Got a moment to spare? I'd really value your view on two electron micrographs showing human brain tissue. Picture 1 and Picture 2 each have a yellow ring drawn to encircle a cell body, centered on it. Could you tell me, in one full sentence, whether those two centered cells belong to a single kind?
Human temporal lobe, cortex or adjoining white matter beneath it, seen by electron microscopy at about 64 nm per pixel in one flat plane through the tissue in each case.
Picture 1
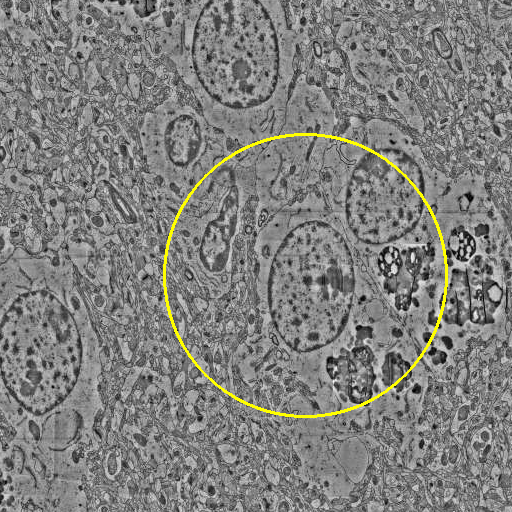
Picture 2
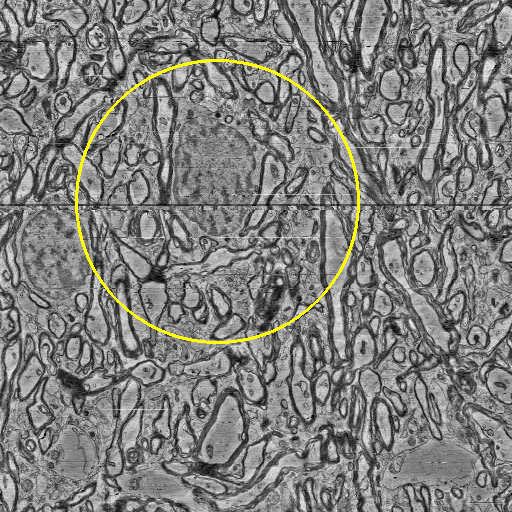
No, the two centered cells in Picture 1 and Picture 2 are of two kinds.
